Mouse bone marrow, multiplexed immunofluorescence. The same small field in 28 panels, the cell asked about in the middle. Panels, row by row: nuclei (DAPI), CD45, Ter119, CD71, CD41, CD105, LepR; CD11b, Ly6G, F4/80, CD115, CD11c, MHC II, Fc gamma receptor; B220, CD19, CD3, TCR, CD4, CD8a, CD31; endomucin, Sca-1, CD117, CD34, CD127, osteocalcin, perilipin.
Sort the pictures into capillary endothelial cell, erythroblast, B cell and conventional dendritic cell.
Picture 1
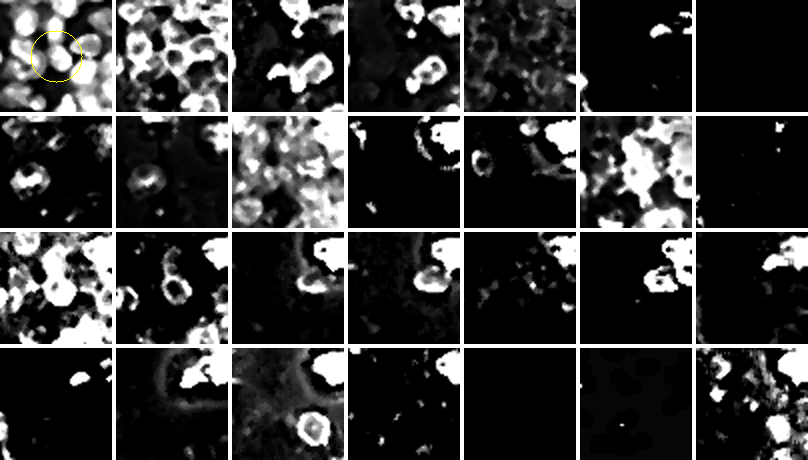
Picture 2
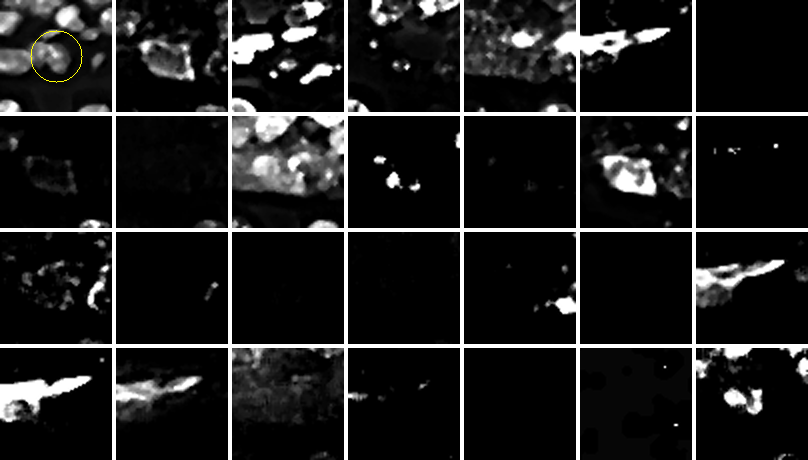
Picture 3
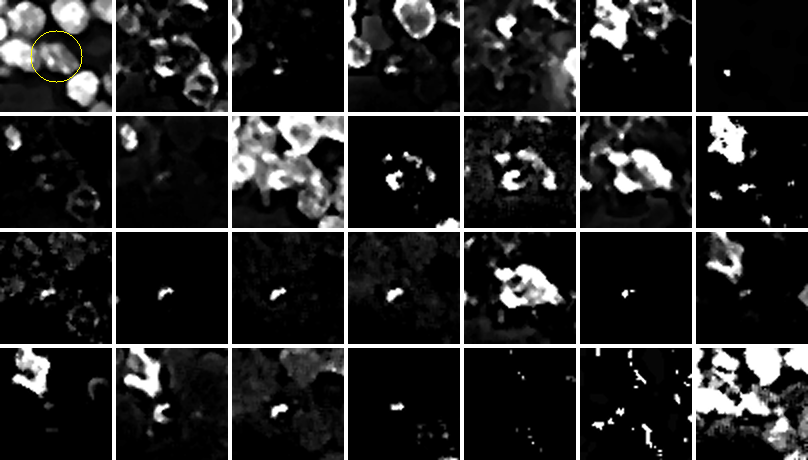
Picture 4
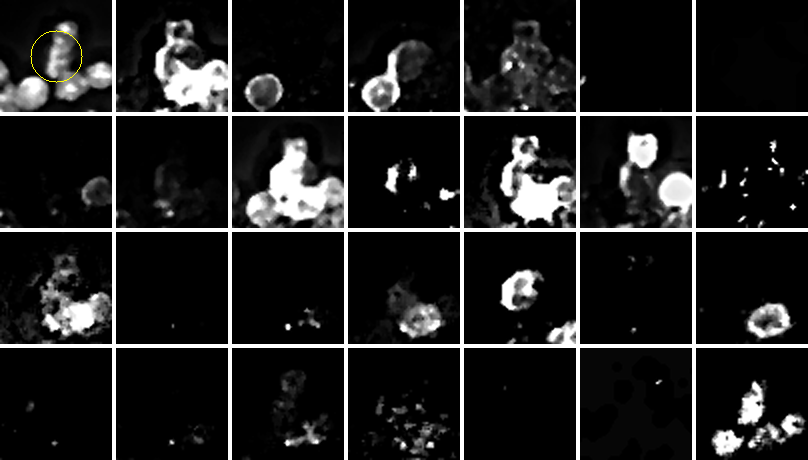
B cells: 1
Capillary endothelial cells: 2
Conventional dendritic cells: 3, 4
